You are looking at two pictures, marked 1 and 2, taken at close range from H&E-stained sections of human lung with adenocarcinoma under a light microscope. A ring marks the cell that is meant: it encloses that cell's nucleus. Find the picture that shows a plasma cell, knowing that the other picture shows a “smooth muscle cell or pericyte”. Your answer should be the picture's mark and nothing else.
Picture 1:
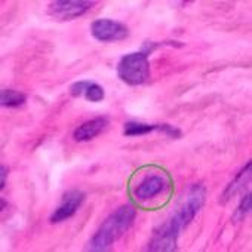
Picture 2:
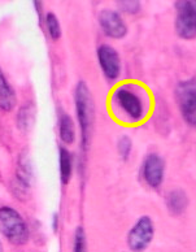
2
